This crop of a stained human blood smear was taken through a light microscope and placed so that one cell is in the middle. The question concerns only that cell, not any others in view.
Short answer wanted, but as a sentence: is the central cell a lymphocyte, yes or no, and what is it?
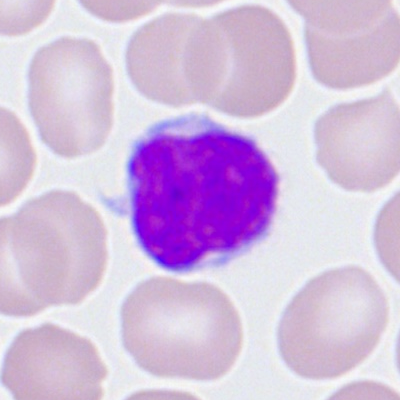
Yes, the cell at the middle of the frame is a lymphocyte.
